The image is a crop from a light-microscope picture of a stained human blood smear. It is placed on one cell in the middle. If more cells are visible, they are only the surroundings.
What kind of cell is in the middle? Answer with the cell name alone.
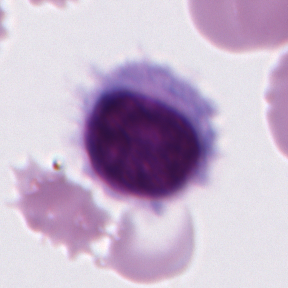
hairy cell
